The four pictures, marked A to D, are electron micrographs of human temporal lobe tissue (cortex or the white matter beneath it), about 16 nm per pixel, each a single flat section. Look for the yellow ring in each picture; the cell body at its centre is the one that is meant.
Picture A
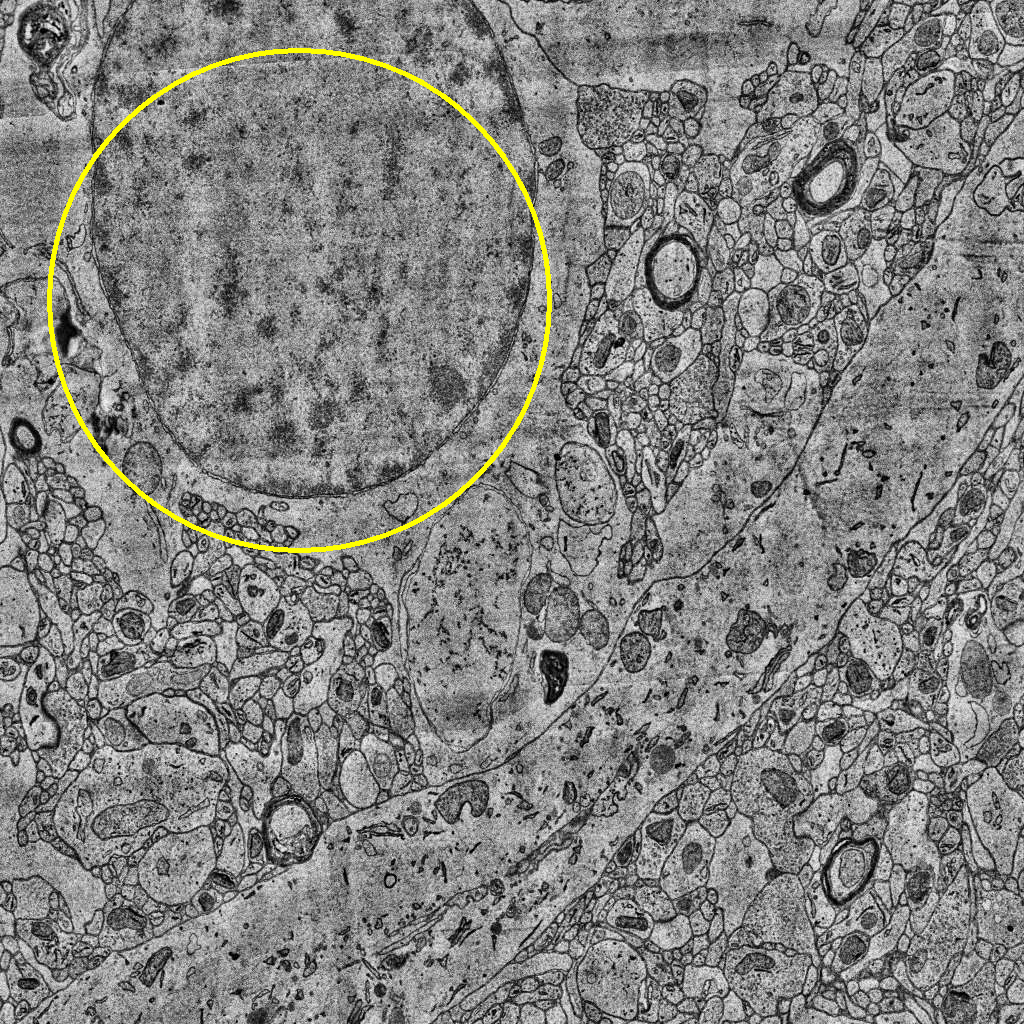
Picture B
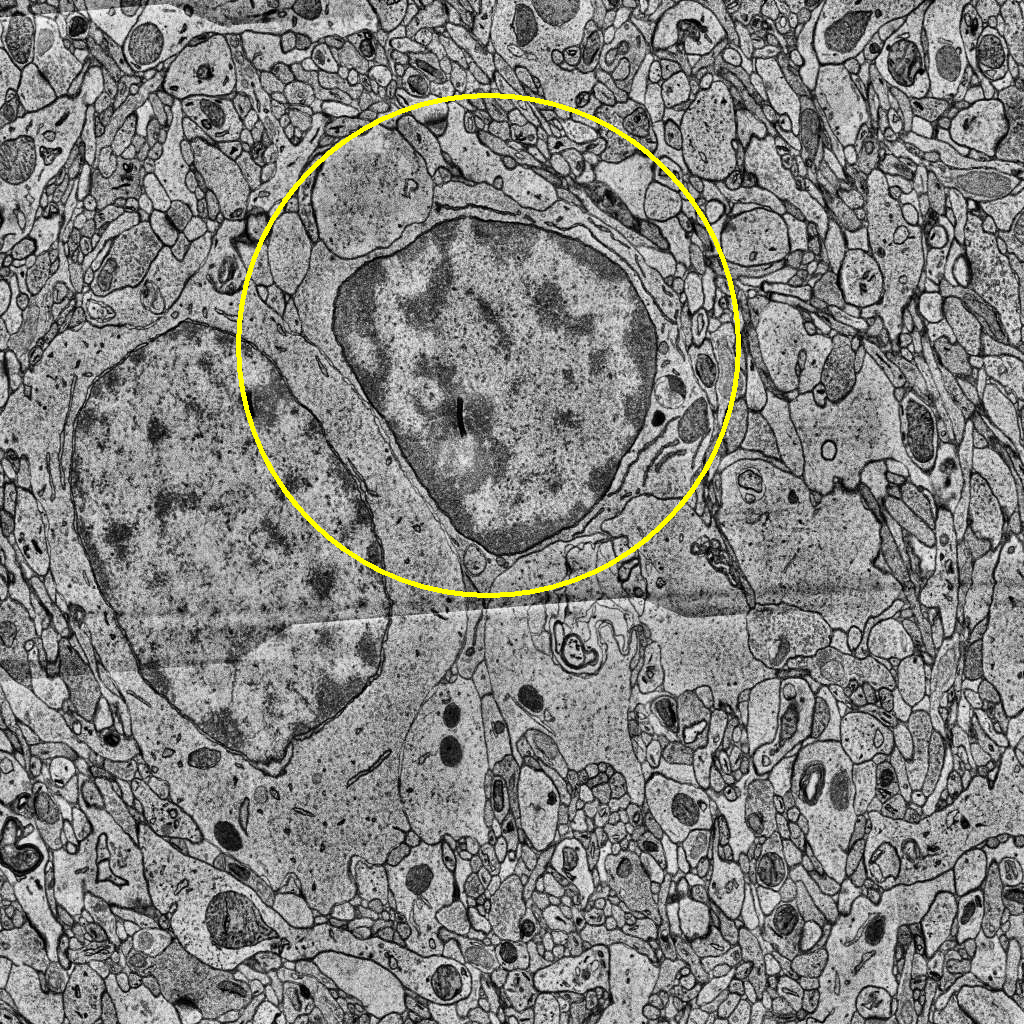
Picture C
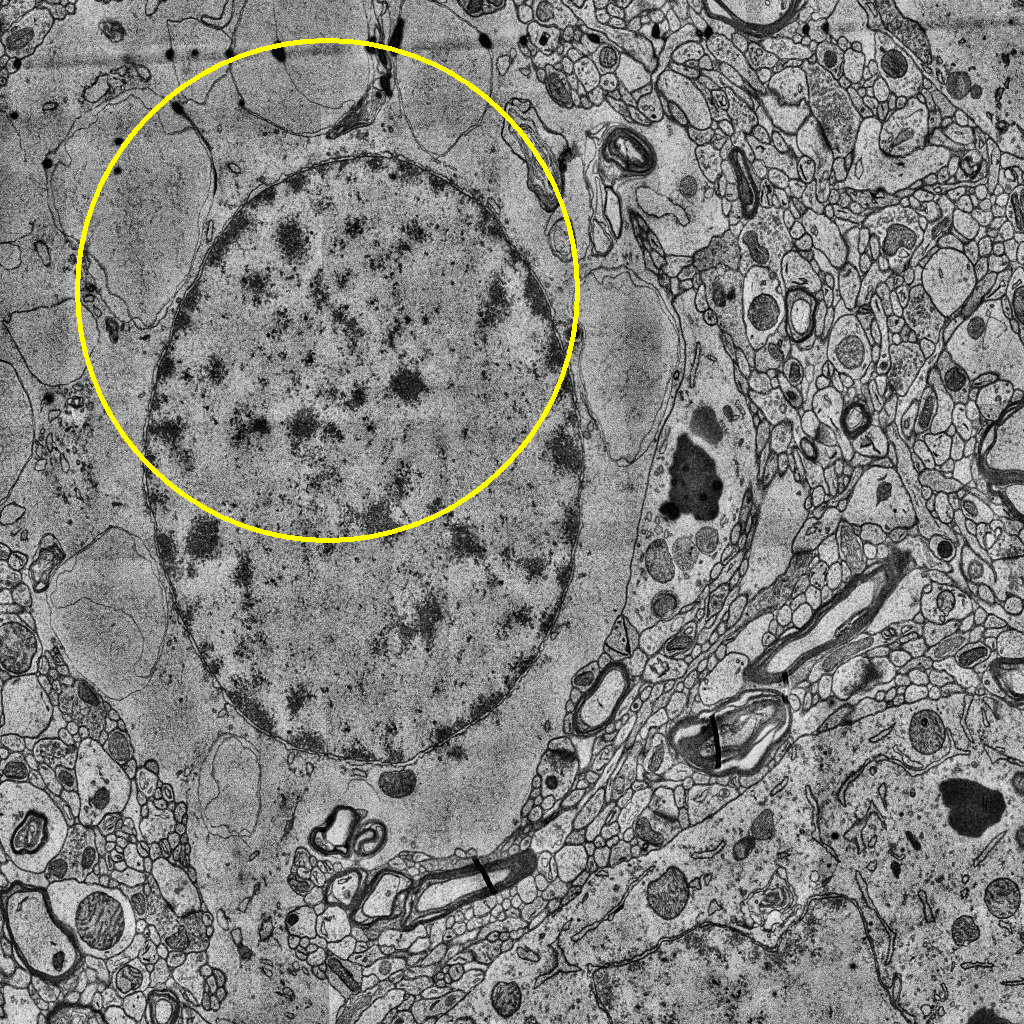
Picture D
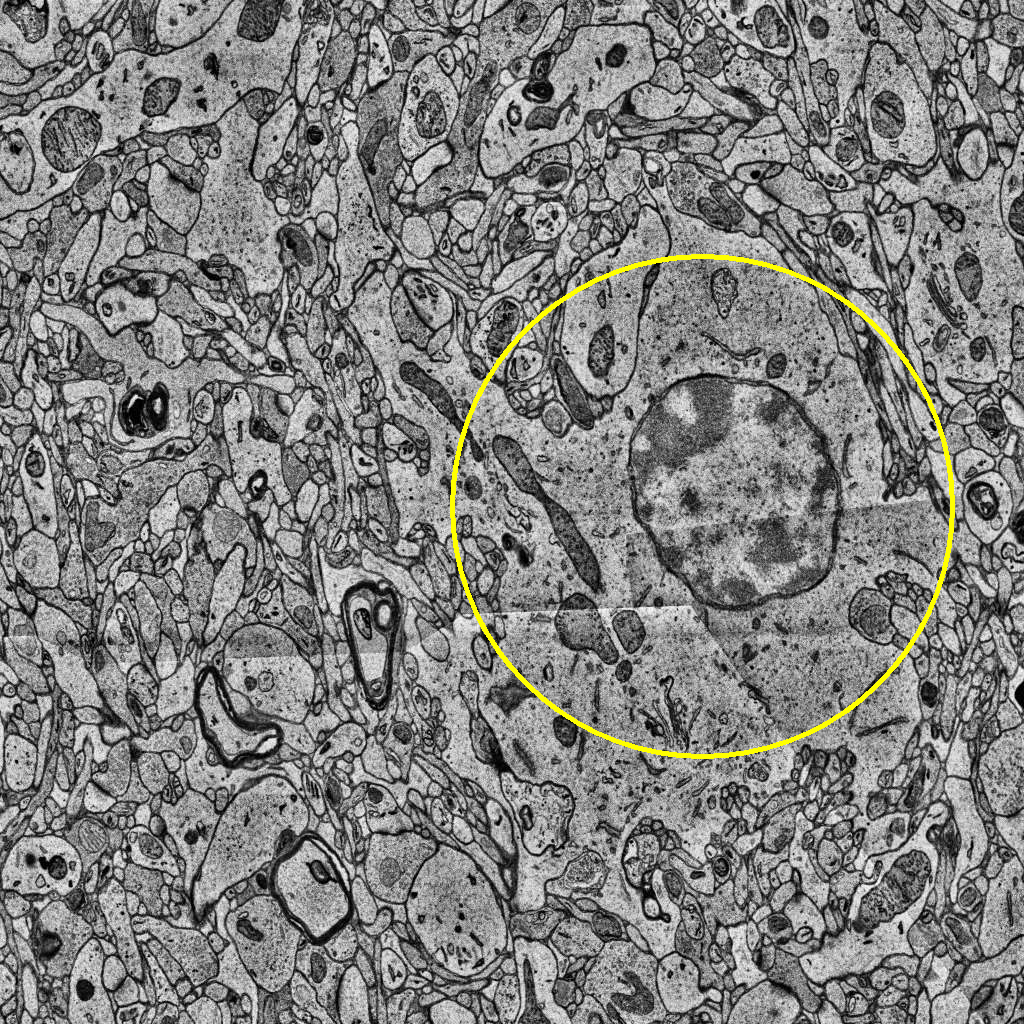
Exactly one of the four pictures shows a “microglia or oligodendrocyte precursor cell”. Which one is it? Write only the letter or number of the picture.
B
